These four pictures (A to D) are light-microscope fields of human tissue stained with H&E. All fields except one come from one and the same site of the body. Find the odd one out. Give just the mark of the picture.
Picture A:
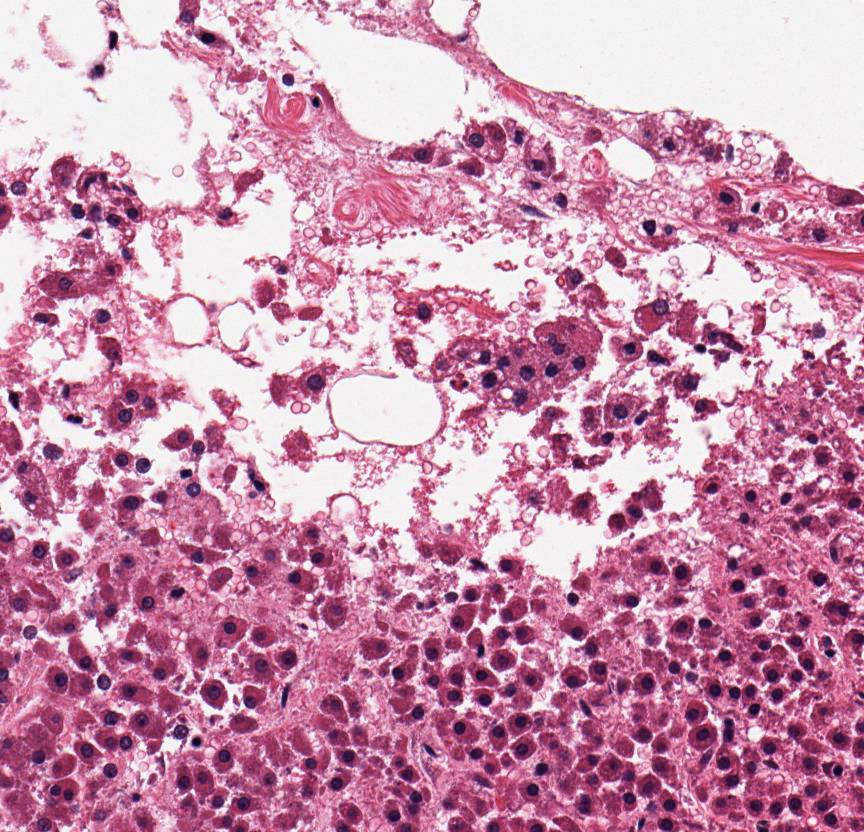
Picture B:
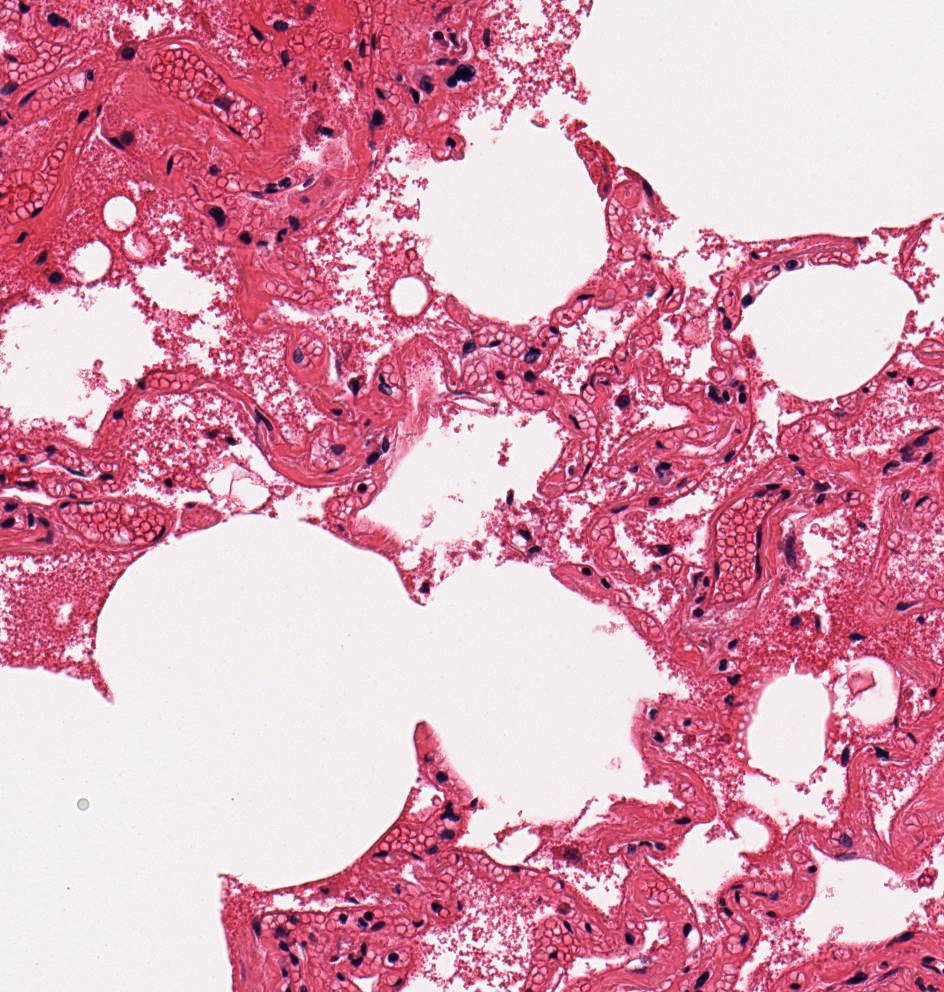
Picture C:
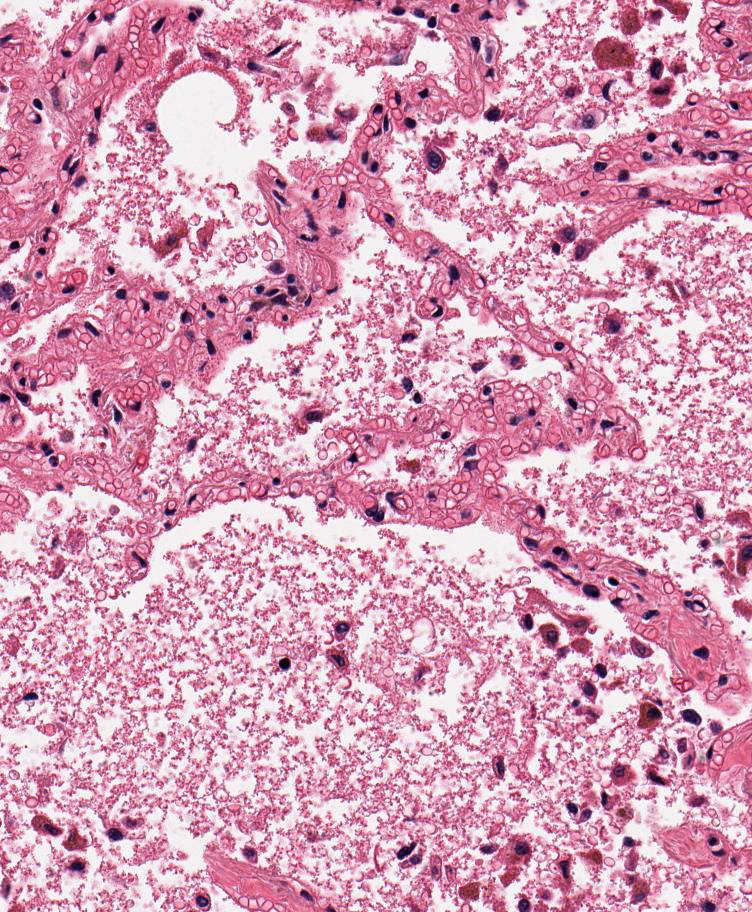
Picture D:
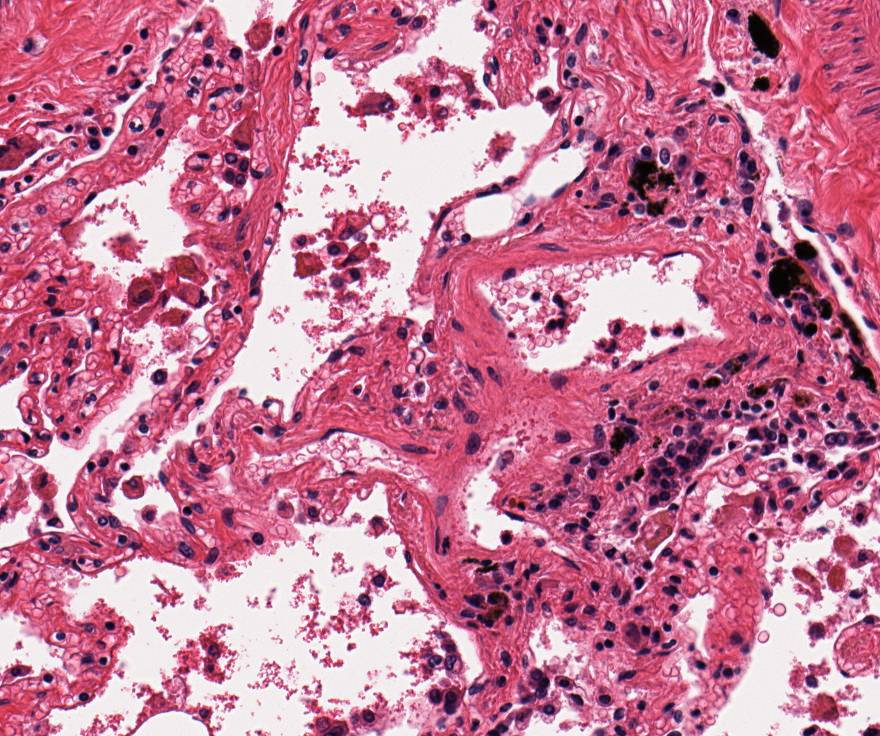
A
